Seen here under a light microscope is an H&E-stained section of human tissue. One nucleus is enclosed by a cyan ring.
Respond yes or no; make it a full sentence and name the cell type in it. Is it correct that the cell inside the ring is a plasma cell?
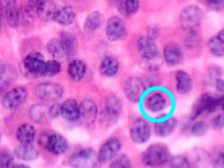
Yes, the cell inside the ring is, by its type, a plasma cell.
